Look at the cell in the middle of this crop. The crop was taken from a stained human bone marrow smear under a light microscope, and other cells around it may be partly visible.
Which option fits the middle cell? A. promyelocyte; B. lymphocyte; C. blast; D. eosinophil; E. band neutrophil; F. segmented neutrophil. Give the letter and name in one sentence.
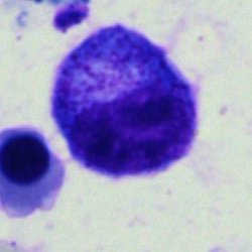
The correct identification, given in option A, is that the central cell is a promyelocyte.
